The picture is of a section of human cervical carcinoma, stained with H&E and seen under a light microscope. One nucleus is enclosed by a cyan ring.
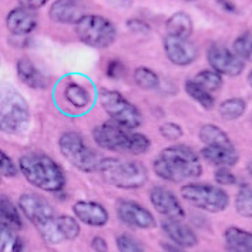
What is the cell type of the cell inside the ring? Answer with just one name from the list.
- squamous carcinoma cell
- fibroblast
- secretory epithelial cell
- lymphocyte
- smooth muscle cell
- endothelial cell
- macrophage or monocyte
squamous carcinoma cell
